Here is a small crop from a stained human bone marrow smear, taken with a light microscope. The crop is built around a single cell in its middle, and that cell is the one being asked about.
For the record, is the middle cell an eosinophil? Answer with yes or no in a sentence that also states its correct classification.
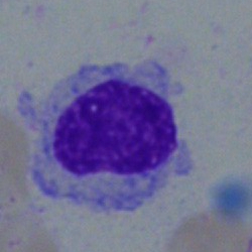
No, the middle cell is not an eosinophil, it being a metamyelocyte.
